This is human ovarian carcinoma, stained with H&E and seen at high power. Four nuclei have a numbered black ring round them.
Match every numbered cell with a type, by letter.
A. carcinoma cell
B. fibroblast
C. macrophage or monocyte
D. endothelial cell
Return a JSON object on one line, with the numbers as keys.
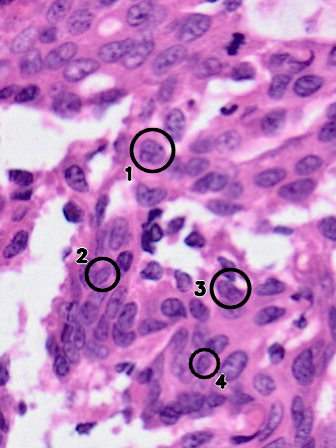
{"1": "C", "2": "A", "3": "A", "4": "A"}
